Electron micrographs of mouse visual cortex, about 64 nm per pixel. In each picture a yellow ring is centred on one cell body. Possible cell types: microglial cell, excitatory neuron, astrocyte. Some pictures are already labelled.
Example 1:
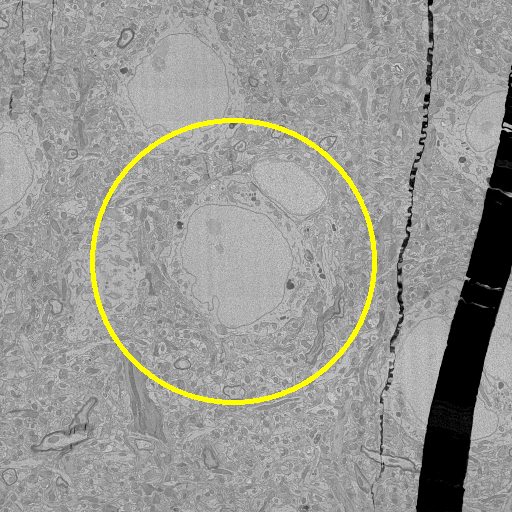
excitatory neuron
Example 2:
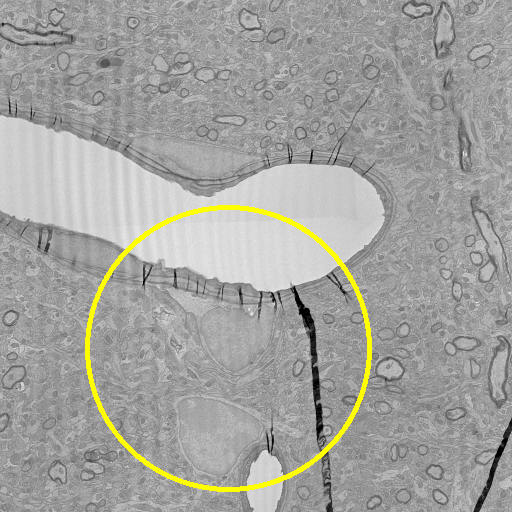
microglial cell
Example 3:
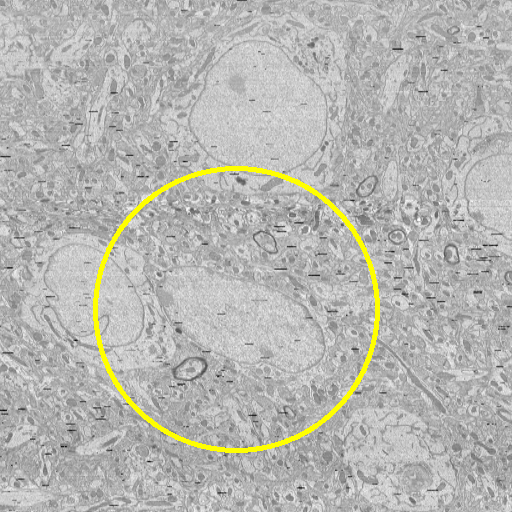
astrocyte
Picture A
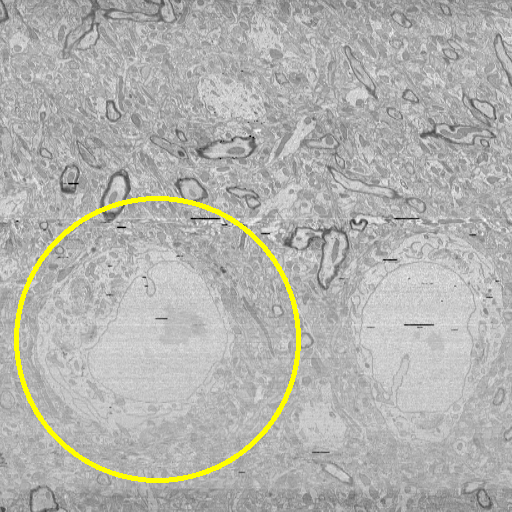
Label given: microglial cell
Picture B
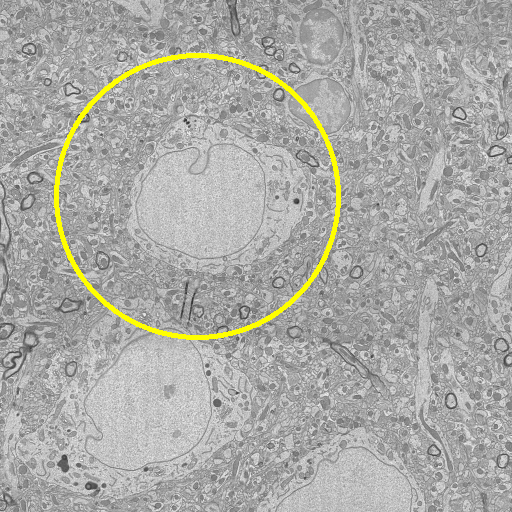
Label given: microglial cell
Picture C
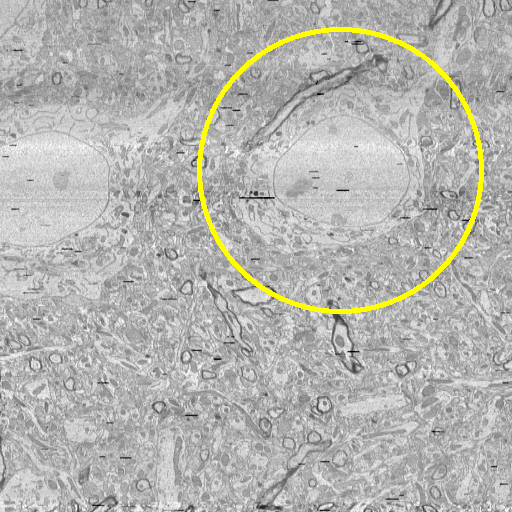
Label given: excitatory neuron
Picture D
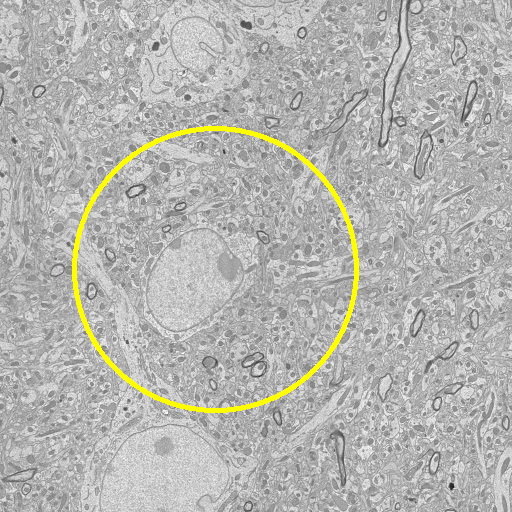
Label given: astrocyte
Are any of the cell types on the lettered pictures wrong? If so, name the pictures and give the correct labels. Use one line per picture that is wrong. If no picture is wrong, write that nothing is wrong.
A: excitatory neuron, not microglial cell
B: excitatory neuron, not microglial cell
